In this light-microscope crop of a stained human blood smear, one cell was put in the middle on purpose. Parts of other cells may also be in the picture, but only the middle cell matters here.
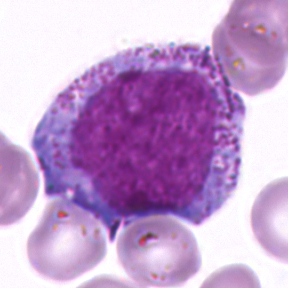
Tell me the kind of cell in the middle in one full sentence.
The central cell shown in this smear crop is a promyelocyte.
